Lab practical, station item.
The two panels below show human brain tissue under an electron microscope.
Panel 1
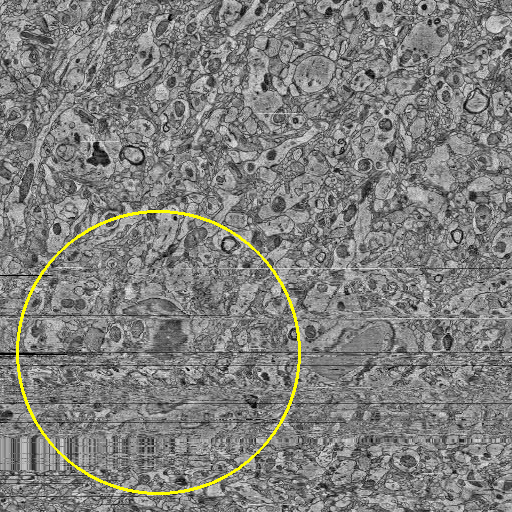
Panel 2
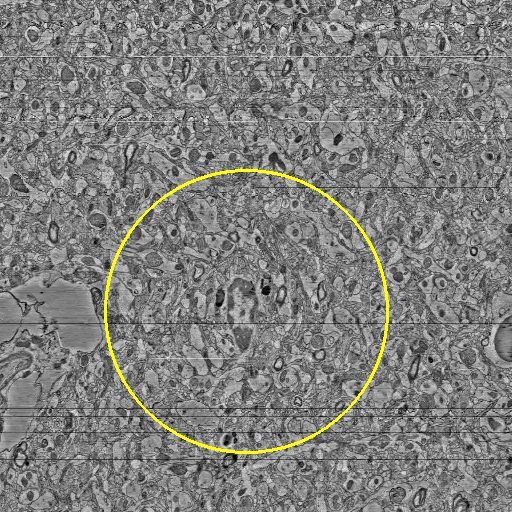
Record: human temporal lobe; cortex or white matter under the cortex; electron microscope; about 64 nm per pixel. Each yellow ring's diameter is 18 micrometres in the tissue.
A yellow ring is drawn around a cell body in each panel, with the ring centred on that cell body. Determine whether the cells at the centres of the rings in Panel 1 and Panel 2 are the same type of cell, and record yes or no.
yes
